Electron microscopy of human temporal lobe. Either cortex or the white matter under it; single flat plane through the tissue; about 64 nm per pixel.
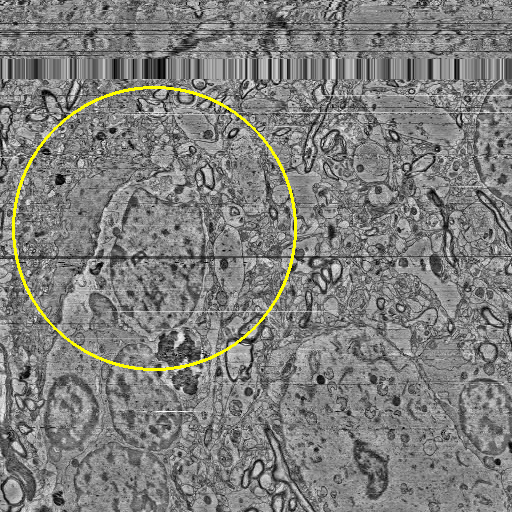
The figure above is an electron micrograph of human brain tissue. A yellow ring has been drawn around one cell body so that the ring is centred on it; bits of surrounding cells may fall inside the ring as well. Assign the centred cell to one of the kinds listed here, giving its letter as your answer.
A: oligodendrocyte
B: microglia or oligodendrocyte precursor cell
B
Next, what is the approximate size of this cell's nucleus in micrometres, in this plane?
The ringed cell's nucleus measures approximately 9 by 6 micrometres in this plane.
